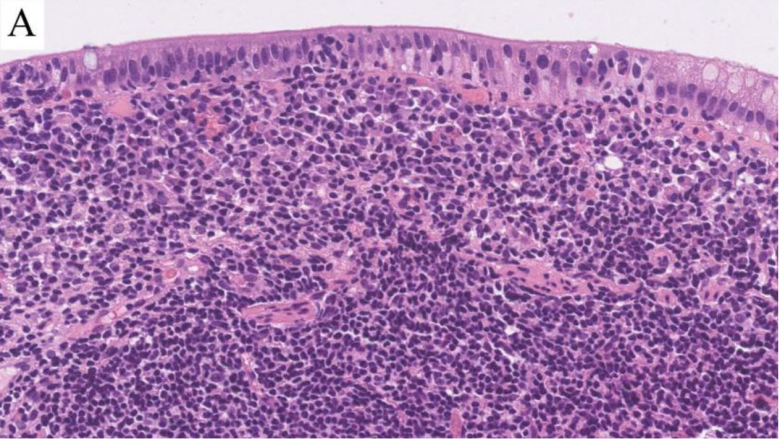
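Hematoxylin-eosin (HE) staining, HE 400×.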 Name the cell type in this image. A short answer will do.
plasma cell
